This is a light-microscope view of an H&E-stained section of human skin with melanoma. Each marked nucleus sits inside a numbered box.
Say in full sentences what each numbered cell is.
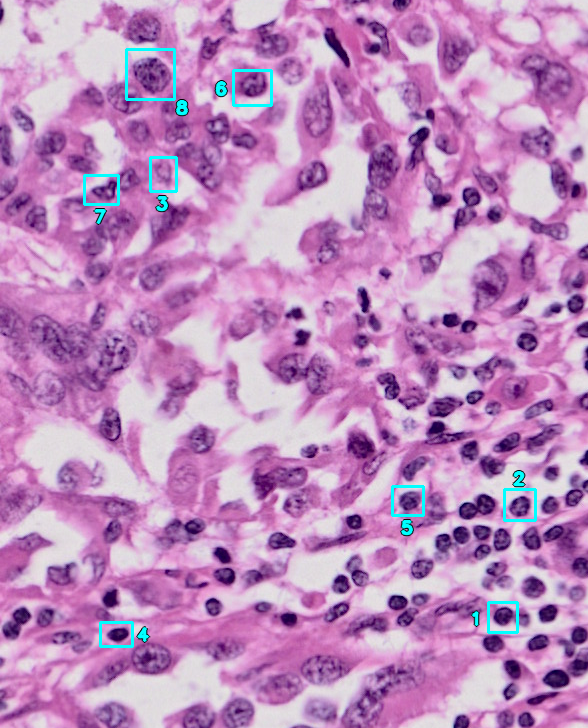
Cell 1 is a lymphocyte, cell 2 is a lymphocyte, cell 3 is a melanoma cell, cell 4 is a lymphocyte, cell 5 is a lymphocyte, cell 6 is a melanoma cell, cell 7 is a melanoma cell and cell 8 is a melanoma cell.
